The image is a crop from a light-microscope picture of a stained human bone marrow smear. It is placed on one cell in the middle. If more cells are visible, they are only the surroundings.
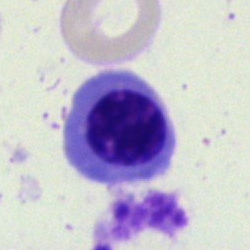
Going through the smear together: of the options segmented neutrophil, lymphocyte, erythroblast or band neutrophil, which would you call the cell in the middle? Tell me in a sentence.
What sits at the centre of this crop is an erythroblast.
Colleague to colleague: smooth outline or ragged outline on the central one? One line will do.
In short, the margin is smooth with no projections at all.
